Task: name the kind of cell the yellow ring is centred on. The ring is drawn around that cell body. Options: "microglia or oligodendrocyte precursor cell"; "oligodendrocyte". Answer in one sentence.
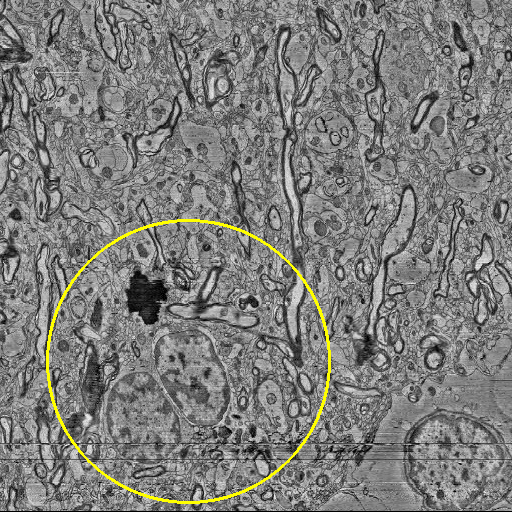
This cell body belongs to a microglial cell or oligodendrocyte precursor cell.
